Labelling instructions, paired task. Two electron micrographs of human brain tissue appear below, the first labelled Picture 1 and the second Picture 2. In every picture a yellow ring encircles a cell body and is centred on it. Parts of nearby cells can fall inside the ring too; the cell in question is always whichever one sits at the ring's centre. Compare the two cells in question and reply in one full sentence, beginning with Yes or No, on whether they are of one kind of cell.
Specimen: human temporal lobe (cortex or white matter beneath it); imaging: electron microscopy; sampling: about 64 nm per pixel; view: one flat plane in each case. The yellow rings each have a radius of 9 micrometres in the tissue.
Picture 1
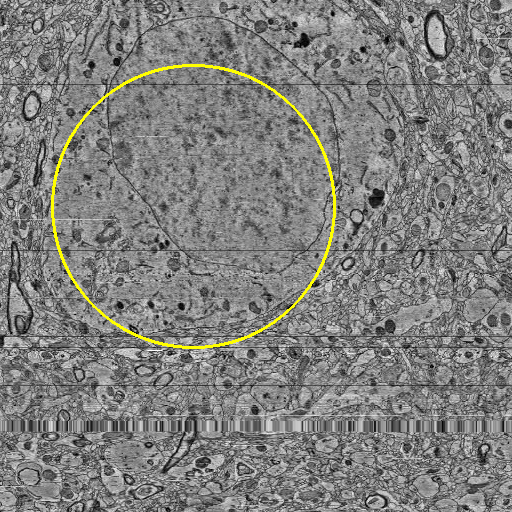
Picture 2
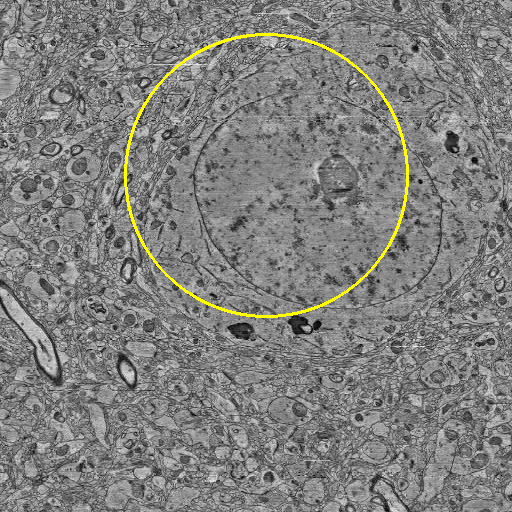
Yes, the two cells at the ring centres in Picture 1 and Picture 2 are of one kind.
